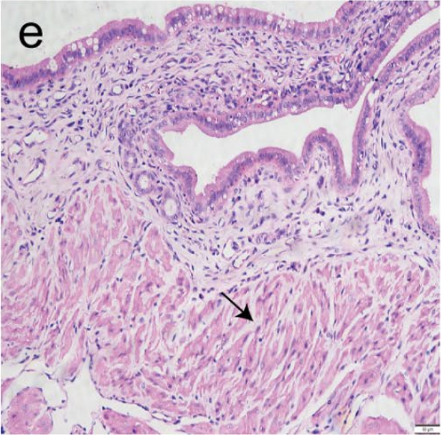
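At the top, a single layer of columnar epithelium with dark nuclei lines a surface and a narrow cleft-like lumen. Beneath it lies a stroma dense with small nuclei and a few small glands. Below this run bundles of pink smooth muscle fibers with elongated, spindle-shaped nuclei, oriented obliquely and lying fairly close together.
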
